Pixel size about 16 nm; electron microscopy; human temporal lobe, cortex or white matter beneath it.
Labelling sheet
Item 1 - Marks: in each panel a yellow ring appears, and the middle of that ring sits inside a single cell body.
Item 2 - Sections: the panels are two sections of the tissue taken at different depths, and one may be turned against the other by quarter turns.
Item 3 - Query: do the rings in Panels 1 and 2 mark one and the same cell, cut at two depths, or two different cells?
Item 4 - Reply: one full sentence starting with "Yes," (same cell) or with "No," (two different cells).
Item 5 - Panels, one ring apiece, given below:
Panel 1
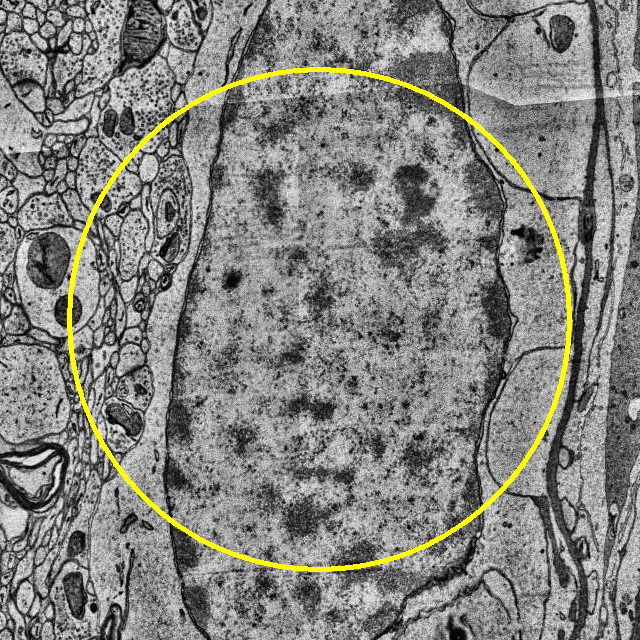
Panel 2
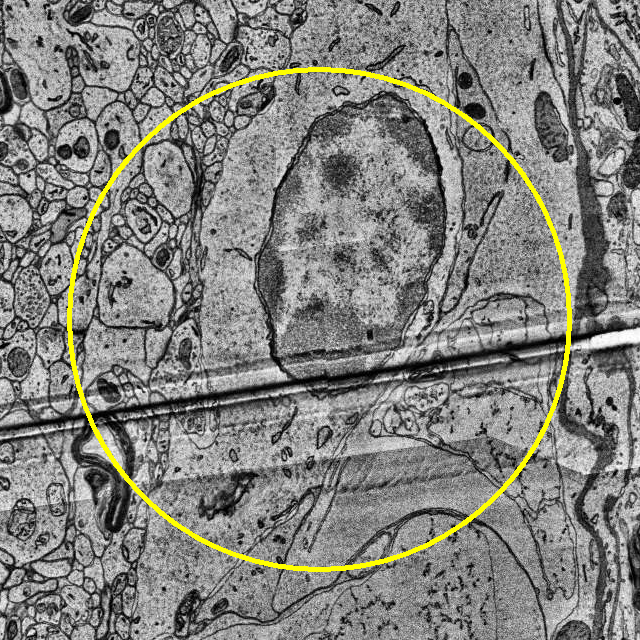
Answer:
Yes, what the two rings mark is one cell.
